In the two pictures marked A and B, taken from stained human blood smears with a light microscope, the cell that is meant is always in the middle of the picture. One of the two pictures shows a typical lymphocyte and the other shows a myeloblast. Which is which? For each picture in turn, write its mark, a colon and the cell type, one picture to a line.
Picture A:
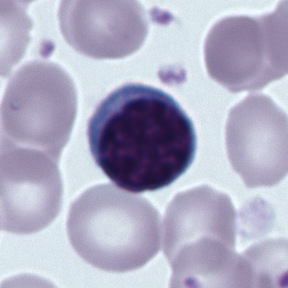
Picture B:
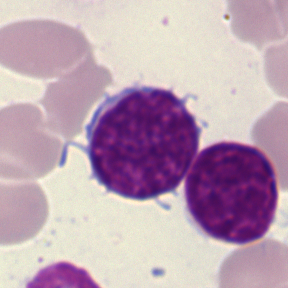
A: typical lymphocyte
B: myeloblast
